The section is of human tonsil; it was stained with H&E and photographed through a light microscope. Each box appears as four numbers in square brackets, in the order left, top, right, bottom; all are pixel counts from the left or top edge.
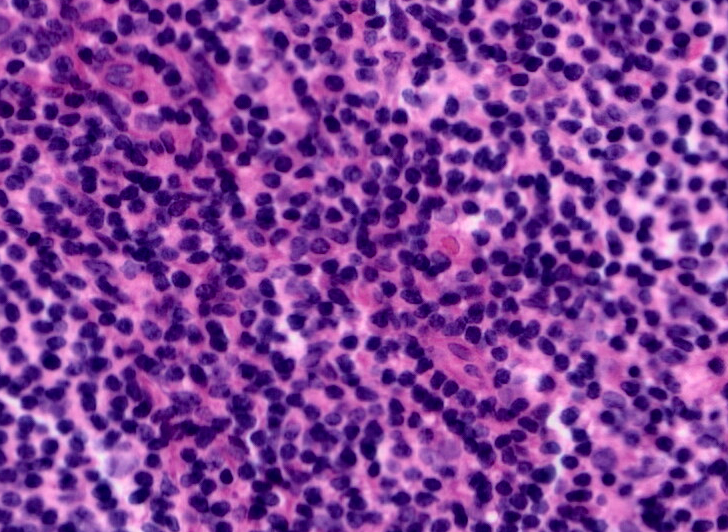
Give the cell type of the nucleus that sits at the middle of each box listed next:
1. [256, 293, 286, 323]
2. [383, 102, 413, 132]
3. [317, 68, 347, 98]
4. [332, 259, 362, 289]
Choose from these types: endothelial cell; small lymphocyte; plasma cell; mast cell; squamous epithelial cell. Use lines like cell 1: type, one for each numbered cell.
cell 1: small lymphocyte
cell 2: small lymphocyte
cell 3: plasma cell
cell 4: small lymphocyte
